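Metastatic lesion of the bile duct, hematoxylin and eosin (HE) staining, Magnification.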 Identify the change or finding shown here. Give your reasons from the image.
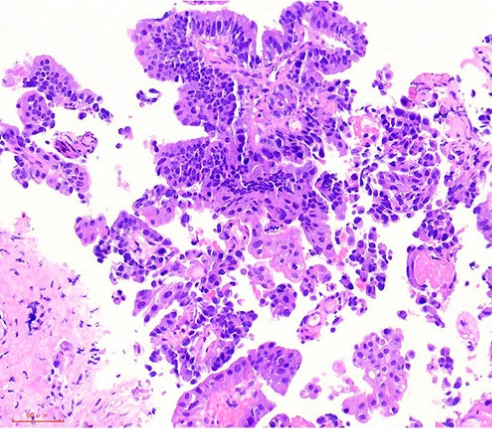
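Well-differentiated papillary adenocarcinoma. Finger-like papillary fronds with thin fibrovascular cores. Fronds are lined by columnar epithelial cells with enlarged, crowded nuclei.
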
